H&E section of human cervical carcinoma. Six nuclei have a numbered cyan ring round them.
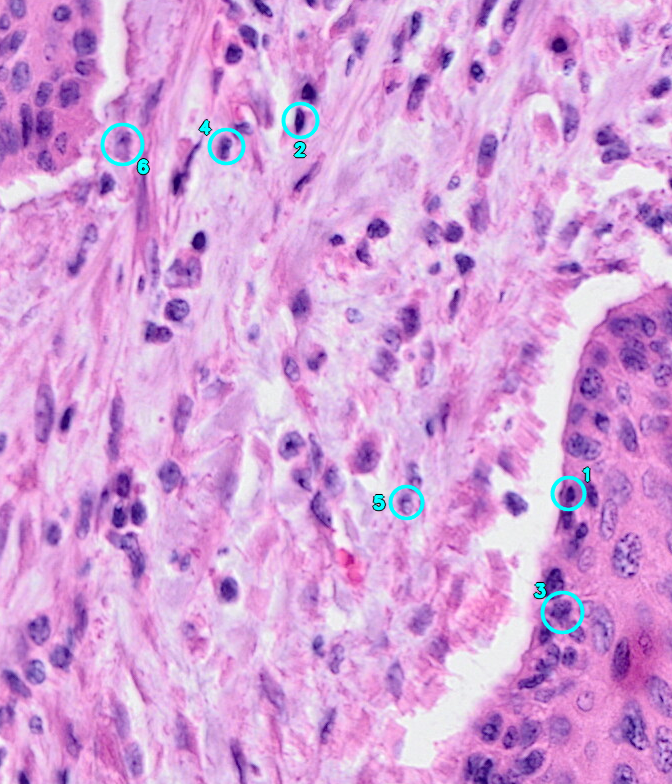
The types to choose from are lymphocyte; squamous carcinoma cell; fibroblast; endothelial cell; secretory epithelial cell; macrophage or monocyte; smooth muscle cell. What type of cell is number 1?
squamous carcinoma cell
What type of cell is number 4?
lymphocyte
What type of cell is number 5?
fibroblast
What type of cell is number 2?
lymphocyte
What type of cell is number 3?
squamous carcinoma cell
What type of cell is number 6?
fibroblast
